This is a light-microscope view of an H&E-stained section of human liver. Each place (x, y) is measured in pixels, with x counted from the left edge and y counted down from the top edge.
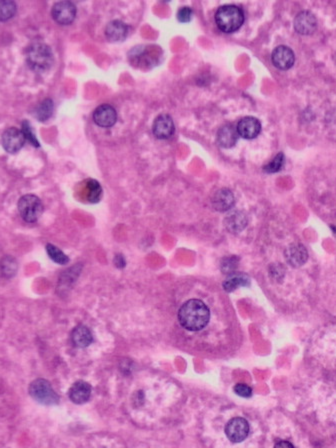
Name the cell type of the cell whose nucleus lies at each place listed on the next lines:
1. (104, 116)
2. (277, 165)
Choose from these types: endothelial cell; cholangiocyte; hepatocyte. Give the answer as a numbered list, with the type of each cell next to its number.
1. hepatocyte
2. endothelial cell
